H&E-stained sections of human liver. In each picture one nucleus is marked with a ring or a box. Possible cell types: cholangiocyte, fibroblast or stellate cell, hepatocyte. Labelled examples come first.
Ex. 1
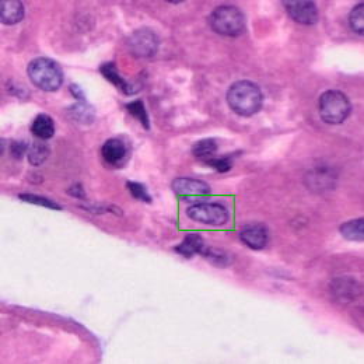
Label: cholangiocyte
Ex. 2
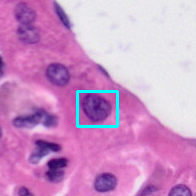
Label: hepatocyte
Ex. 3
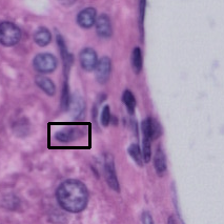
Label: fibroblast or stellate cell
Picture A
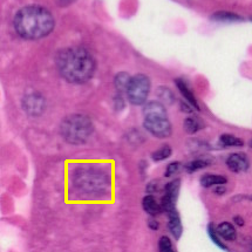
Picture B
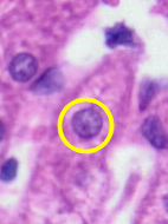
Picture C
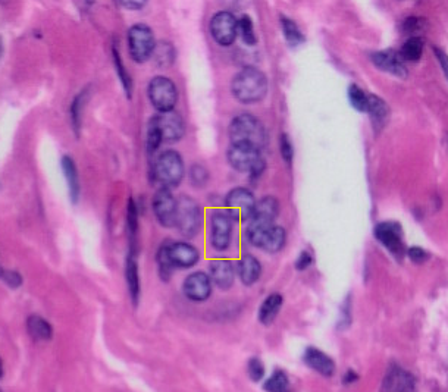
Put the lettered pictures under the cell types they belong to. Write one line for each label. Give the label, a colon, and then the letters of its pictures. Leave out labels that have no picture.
cholangiocyte: C
hepatocyte: A, B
